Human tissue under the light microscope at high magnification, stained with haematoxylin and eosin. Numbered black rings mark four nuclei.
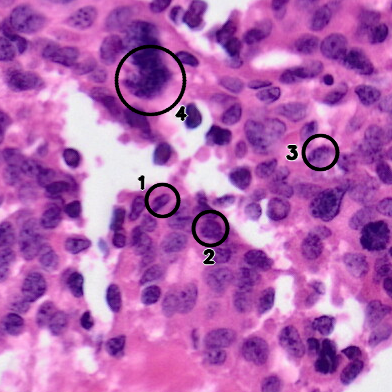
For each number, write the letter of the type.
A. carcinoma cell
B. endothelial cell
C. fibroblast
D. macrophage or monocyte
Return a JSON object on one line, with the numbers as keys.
{"1": "D", "2": "A", "3": "A", "4": "A"}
